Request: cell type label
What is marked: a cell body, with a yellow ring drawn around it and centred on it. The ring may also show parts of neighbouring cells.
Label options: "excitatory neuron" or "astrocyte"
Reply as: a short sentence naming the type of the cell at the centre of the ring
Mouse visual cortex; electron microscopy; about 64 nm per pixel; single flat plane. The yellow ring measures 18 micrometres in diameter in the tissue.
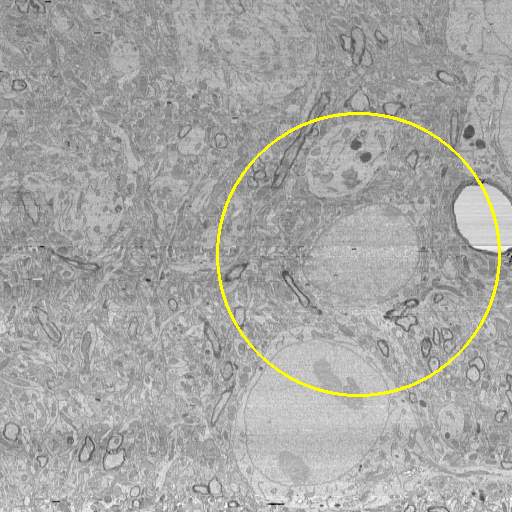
The marked cell body is that of an astrocyte.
